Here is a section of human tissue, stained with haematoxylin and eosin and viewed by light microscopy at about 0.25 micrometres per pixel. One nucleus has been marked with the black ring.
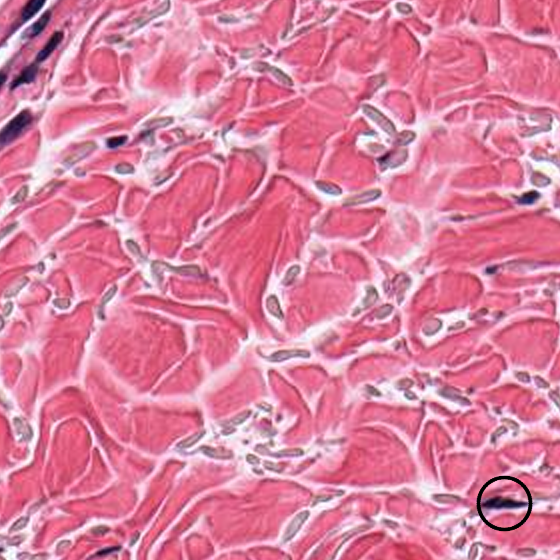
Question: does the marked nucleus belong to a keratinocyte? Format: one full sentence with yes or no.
No, the marked nucleus is part of a supporting cell and does not belong to a keratinocyte.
